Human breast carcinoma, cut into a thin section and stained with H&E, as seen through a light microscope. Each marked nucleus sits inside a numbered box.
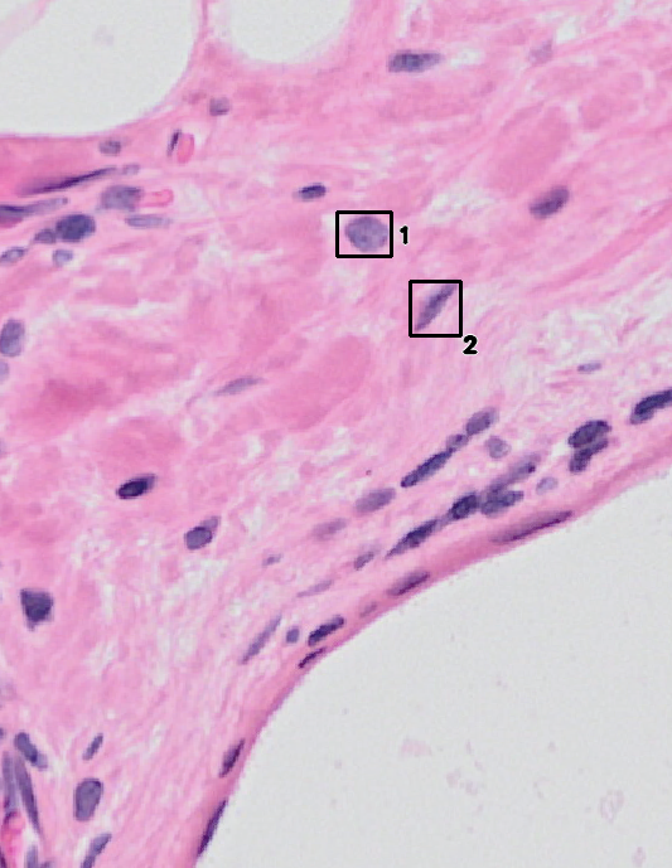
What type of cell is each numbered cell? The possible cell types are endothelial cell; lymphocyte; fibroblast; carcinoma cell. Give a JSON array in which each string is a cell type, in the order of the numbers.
["carcinoma cell", "fibroblast"]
